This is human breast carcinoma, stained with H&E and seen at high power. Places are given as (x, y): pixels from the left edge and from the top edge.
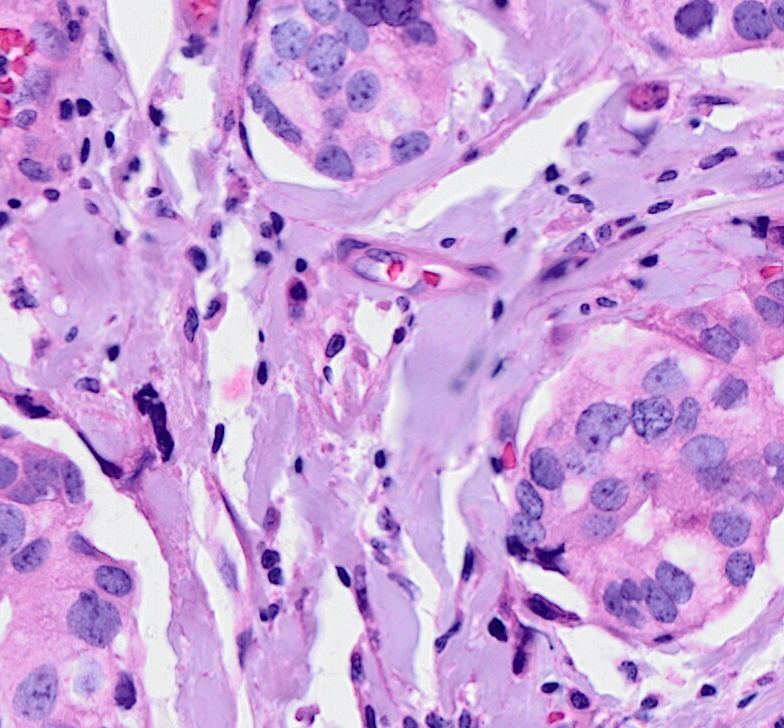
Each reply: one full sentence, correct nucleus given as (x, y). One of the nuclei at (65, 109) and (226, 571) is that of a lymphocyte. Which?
Of the two nuclei present, the one at (65, 109) is within a lymphocyte.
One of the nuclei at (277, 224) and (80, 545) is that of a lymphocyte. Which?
The nucleus positioned at (277, 224) is the one that belongs to a lymphocyte.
